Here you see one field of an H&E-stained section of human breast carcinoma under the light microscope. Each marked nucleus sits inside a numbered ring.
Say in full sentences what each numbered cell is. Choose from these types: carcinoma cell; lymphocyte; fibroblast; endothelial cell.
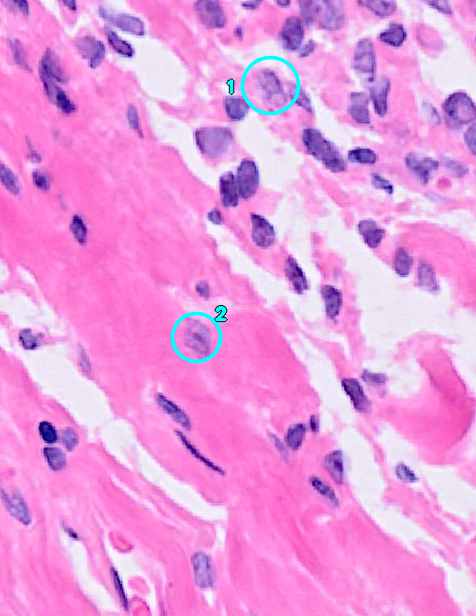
Cell 1 is a carcinoma cell and cell 2 is a fibroblast.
